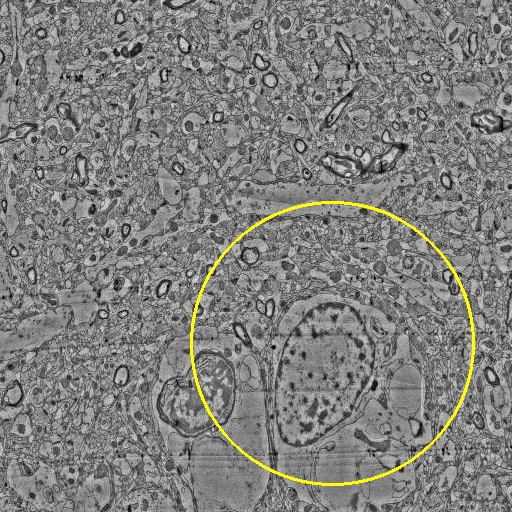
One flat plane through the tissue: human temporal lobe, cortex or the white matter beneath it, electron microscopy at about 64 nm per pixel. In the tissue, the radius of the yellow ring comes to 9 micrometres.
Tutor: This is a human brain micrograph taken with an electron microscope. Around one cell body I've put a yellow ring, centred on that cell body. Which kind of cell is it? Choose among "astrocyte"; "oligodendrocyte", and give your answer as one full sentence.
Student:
Going by your list, the cell centred in the yellow ring is an astrocyte.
